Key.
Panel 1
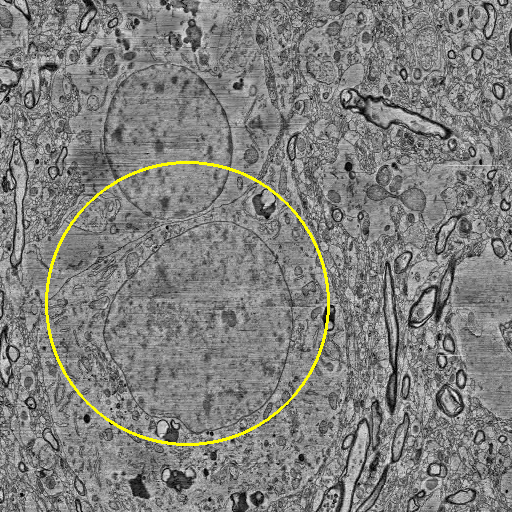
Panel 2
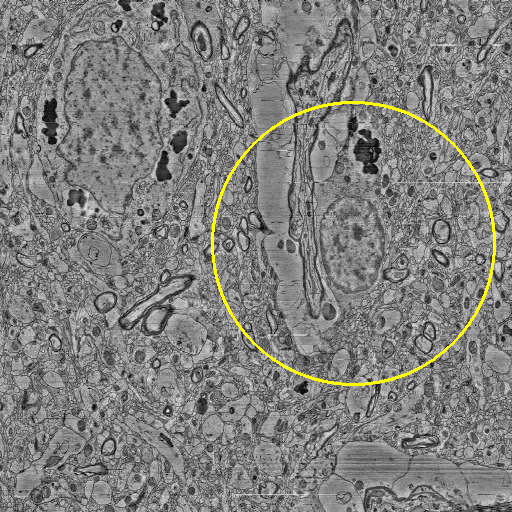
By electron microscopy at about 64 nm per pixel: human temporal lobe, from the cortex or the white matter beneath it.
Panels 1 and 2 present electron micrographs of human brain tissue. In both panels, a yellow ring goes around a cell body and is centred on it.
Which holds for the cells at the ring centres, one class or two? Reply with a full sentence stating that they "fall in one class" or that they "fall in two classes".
Taken together, the ring-centre cells of the two panels fall in two classes.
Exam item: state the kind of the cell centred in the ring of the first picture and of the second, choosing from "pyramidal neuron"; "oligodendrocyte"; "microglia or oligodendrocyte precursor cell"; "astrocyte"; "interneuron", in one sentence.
The first picture shows a pyramidal neuron at the ring centre and the second shows an oligodendrocyte.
